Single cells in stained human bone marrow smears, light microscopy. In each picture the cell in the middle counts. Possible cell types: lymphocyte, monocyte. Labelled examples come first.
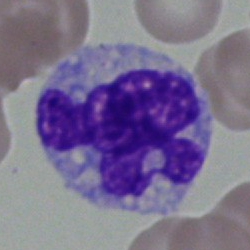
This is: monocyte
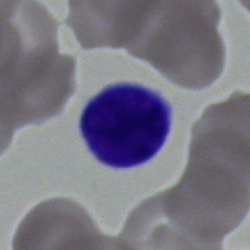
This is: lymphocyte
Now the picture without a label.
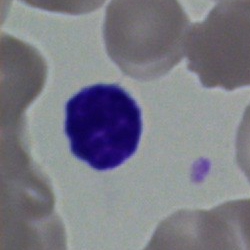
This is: lymphocyte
